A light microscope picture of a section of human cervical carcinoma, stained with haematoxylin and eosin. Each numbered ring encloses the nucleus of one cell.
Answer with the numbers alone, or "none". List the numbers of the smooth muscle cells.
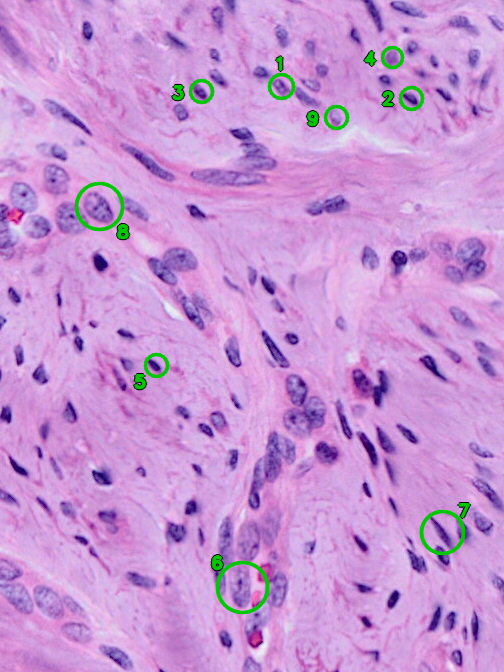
1, 3, 4, 9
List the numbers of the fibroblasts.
2, 5, 7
